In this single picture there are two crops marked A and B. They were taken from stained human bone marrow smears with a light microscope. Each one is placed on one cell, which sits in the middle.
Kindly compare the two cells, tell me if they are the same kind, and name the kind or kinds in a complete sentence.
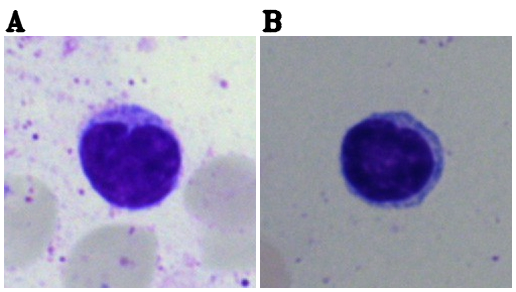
Yes, as an answer for this item, both crops show lymphocytes.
